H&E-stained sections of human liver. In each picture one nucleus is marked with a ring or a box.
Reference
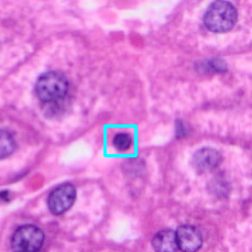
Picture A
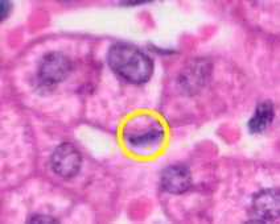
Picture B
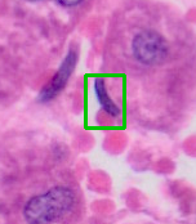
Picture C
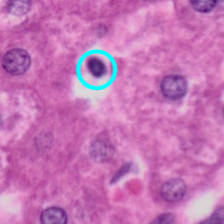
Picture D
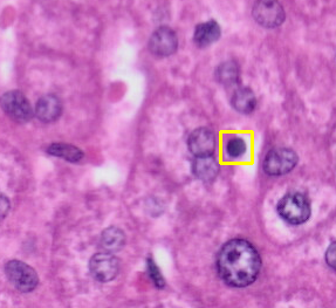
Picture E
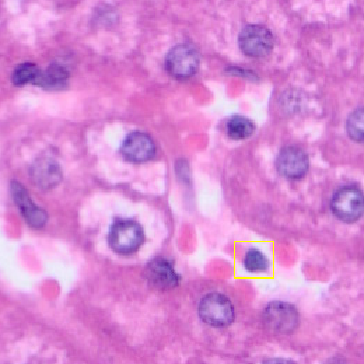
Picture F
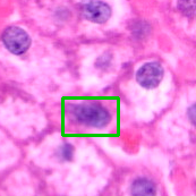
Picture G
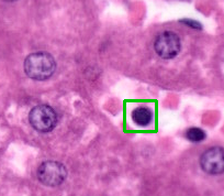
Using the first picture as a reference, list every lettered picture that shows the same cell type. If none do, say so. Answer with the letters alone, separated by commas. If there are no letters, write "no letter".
C, D, E, G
